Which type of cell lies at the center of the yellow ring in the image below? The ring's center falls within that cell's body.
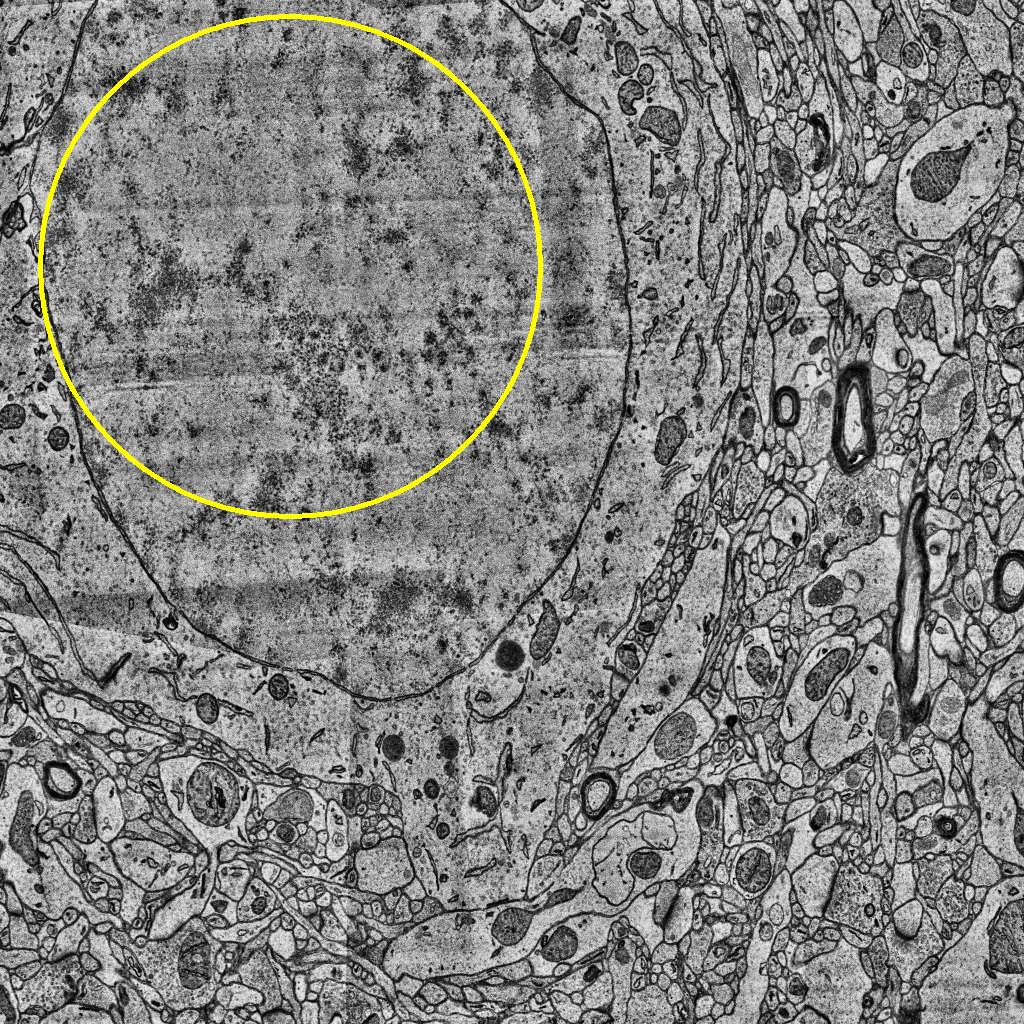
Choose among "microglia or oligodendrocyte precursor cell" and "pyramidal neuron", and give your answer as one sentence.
The cell body at the center belongs to a pyramidal neuron.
